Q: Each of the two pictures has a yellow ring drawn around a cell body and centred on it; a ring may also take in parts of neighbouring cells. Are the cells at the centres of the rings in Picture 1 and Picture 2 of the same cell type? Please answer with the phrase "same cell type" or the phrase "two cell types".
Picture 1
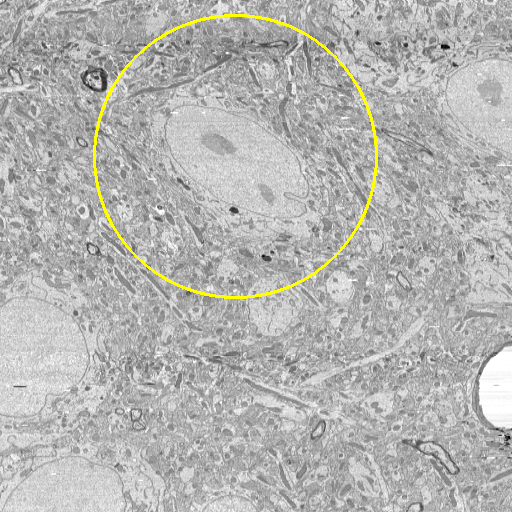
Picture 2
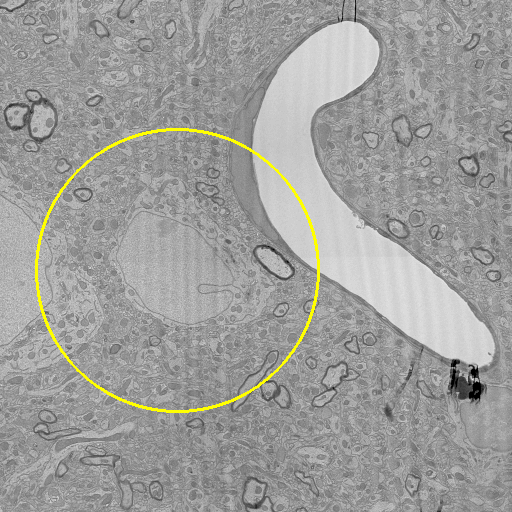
same cell type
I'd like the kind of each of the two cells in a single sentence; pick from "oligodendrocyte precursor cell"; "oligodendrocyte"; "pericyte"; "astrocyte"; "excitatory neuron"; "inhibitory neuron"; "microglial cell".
Each of the two pictures has an excitatory neuron at the ring centre.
